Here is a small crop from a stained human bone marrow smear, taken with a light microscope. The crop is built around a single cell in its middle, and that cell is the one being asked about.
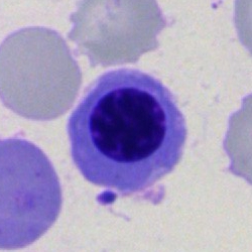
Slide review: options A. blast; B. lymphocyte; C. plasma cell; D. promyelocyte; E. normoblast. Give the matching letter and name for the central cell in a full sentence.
Well, the cell in the middle is a normoblast, making option E right.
